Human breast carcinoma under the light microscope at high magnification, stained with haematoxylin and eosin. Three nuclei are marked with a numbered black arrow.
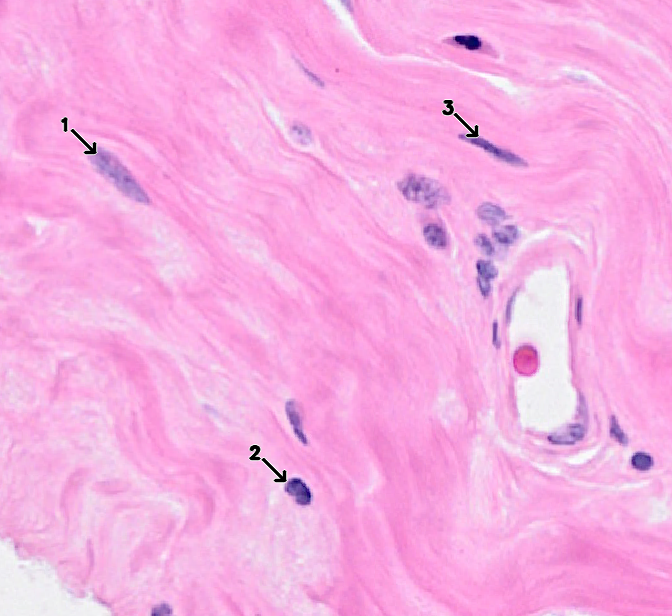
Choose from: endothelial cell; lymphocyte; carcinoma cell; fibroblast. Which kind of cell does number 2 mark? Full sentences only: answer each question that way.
It is as a lymphocyte that the cell numbered 2 is identified.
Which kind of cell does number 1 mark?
The label 1 in this section denotes a fibroblast.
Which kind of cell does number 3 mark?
The marked nucleus 3 is that of a fibroblast.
